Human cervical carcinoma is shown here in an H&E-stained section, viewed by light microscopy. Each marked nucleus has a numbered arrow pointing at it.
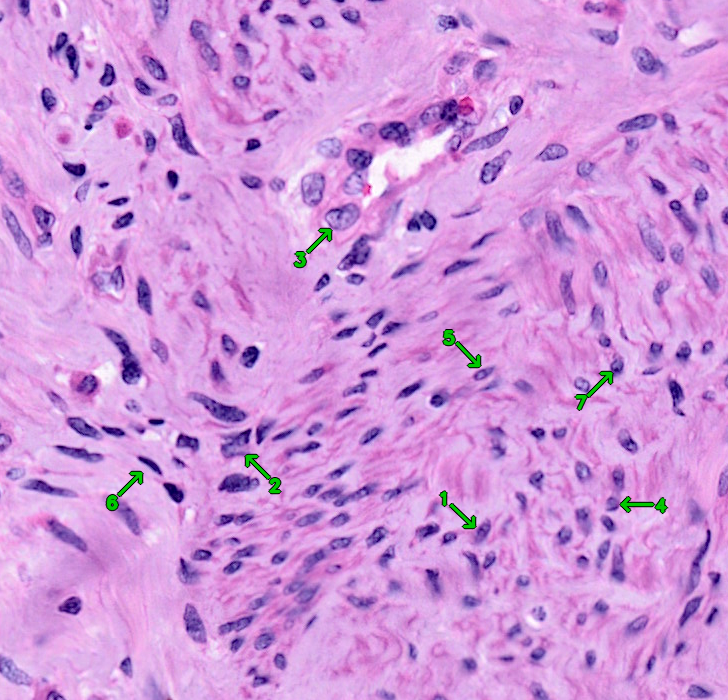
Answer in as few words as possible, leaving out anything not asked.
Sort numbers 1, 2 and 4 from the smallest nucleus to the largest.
4, 1, 2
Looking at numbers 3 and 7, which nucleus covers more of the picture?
3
